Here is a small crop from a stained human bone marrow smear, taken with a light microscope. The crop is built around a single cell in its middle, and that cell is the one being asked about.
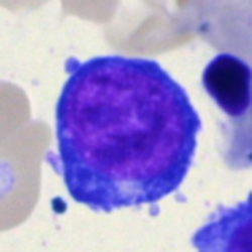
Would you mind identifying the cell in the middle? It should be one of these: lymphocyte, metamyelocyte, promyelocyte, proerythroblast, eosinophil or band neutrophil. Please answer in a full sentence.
In the middle of this smear crop, the cell is a proerythroblast.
